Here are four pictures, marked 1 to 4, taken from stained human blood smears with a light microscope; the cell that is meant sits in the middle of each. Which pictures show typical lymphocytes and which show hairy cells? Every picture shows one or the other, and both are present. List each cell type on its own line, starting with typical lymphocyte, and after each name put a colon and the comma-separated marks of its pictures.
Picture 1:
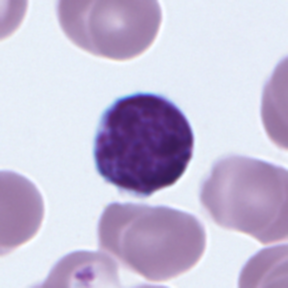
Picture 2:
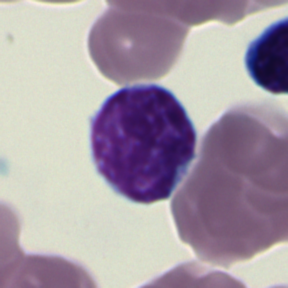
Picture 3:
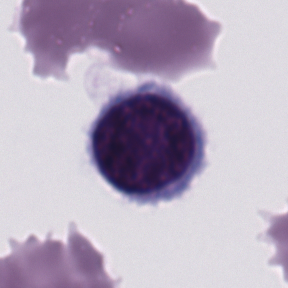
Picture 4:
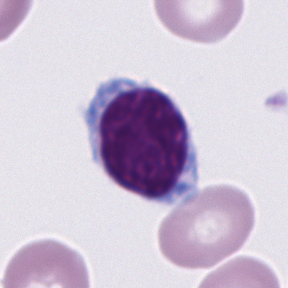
typical lymphocyte: 1, 2, 4
hairy cell: 3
